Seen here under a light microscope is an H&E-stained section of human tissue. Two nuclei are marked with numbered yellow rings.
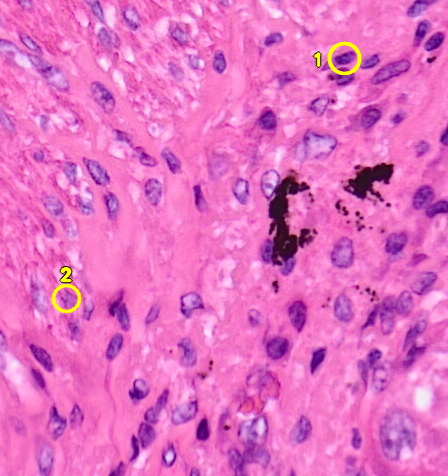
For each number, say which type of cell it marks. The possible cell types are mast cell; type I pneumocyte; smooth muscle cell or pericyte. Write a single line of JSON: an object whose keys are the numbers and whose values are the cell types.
{"1": "mast cell", "2": "smooth muscle cell or pericyte"}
